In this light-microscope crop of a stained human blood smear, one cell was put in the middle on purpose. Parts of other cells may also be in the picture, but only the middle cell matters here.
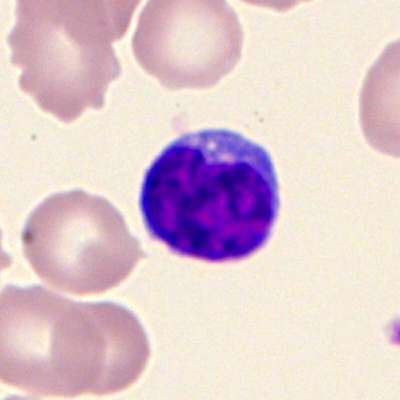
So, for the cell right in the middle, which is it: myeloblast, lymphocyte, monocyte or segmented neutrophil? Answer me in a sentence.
The cell nearest the centre of this crop is a lymphocyte.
